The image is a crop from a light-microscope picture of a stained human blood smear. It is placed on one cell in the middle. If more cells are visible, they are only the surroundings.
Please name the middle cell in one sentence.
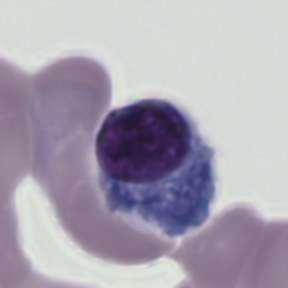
Centrally within this crop lies a plasma cell.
